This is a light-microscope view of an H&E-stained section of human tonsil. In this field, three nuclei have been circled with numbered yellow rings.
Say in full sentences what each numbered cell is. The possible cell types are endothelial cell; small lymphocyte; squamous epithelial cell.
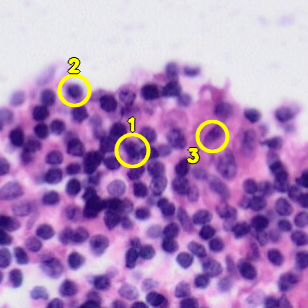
Cells 1 and 2 are small lymphocytes. Cell 3 is an endothelial cell.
